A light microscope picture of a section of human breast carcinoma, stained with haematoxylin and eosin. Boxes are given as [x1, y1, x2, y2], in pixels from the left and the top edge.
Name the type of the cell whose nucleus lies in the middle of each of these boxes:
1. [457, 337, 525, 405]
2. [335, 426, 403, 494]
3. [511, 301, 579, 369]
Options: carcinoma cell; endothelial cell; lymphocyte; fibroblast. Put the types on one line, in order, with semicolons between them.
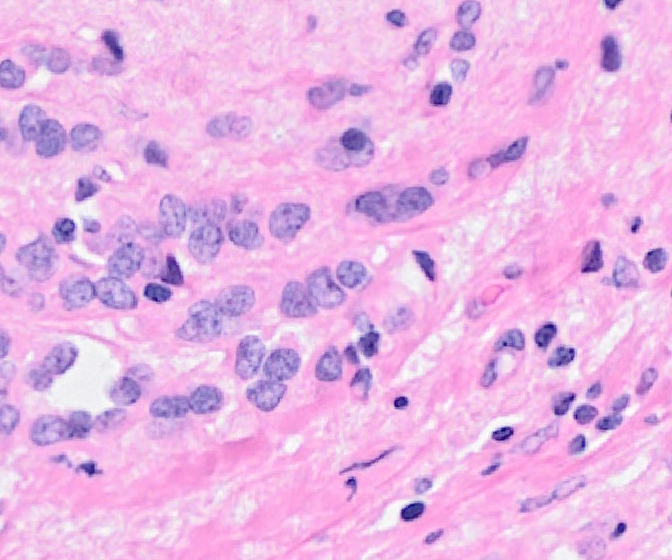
endothelial cell; fibroblast; lymphocyte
